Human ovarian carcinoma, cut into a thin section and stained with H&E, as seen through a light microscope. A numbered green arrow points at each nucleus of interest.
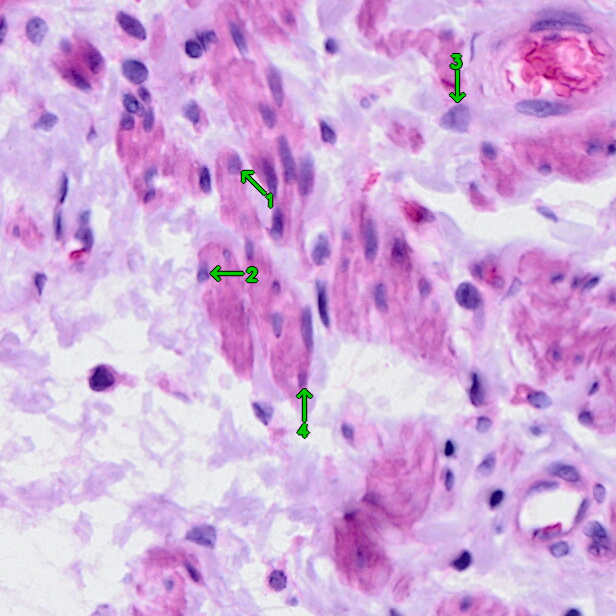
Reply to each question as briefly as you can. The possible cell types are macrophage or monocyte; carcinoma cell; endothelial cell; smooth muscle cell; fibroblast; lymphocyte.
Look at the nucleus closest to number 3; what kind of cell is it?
smooth muscle cell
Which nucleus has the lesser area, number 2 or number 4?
4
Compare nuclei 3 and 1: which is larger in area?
3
